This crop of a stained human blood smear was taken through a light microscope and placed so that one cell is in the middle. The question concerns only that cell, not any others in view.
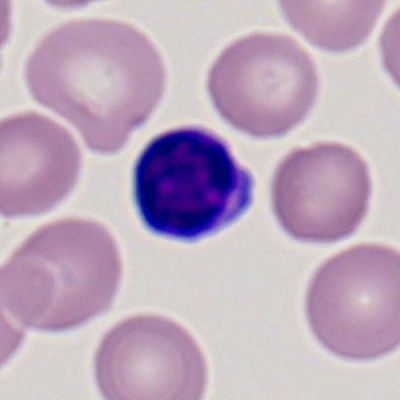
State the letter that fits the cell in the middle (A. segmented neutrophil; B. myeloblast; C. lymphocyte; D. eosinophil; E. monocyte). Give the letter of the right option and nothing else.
C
